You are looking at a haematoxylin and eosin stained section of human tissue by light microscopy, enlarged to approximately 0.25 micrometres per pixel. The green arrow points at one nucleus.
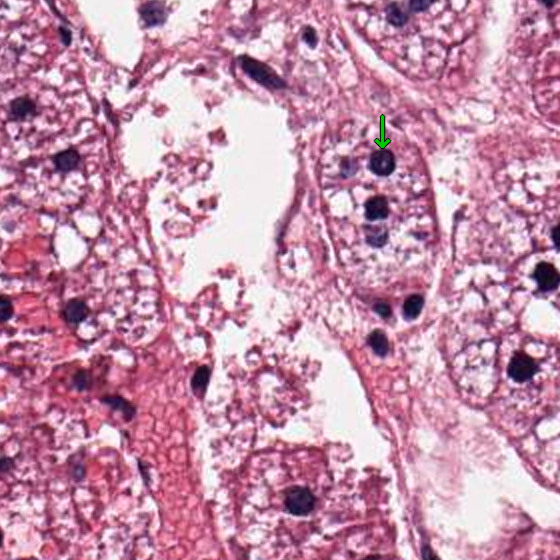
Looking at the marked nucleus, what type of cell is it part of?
adrenal cortical cell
